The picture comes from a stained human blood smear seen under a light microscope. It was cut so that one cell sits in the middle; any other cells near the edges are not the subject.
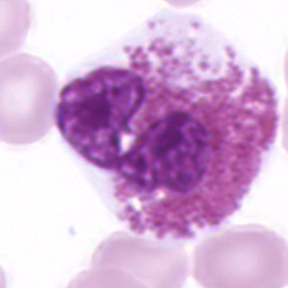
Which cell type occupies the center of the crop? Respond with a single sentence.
The central element of this crop is a cell, namely an eosinophil.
